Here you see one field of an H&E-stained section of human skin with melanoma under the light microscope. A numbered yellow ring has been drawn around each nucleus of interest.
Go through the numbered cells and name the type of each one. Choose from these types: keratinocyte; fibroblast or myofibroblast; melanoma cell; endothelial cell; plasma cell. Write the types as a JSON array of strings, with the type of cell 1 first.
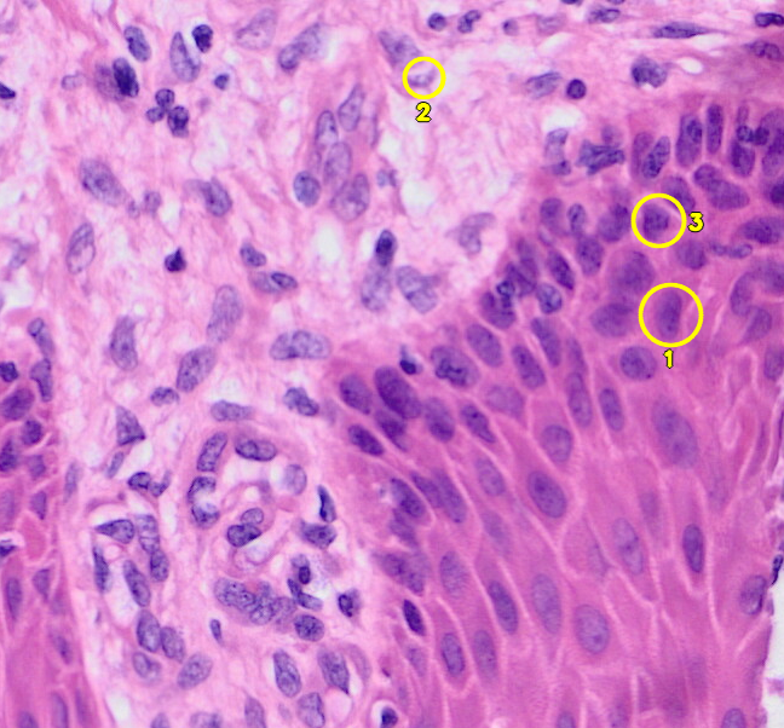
["keratinocyte", "fibroblast or myofibroblast", "keratinocyte"]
